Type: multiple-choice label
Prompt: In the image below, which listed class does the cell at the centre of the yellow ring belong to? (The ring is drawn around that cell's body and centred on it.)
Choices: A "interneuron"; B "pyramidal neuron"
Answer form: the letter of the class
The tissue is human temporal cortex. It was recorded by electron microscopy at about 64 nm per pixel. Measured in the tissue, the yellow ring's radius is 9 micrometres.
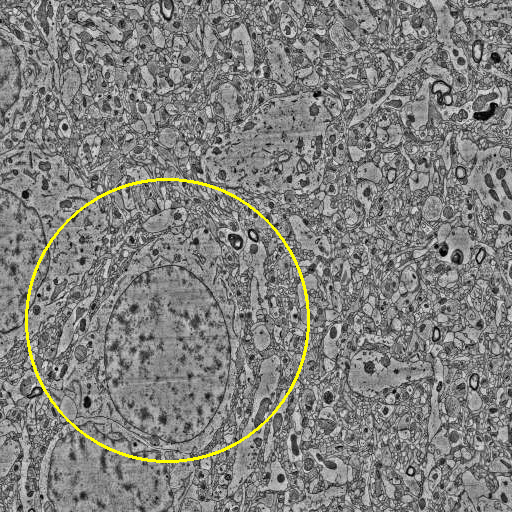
B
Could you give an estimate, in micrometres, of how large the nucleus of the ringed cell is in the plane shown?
Approximately 11 by 8 micrometers in this plane.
